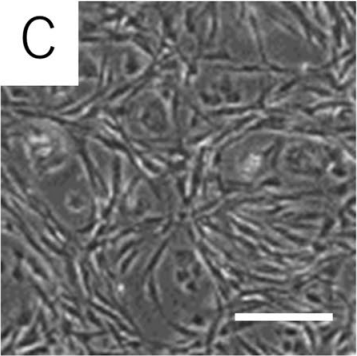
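This phase-contrast image shows a mixed culture in which many elongated, spindle-shaped fibroblast-like cells form a dense, interlacing layer. Among them lie several rounded, flatter areas occupied by compact groups of cells with less distinct borders. The spindle cells run around the edges of these rounded areas, so that the rounded areas appear outlined by streams of elongated cells.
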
